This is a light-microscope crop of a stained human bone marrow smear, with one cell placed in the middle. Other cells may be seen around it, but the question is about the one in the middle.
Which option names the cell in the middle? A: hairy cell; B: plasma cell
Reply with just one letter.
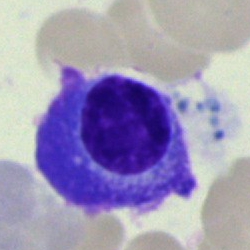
B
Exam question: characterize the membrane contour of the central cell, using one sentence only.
Instead of a smooth edge, this cell has an irregular one, ragged or with projections.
